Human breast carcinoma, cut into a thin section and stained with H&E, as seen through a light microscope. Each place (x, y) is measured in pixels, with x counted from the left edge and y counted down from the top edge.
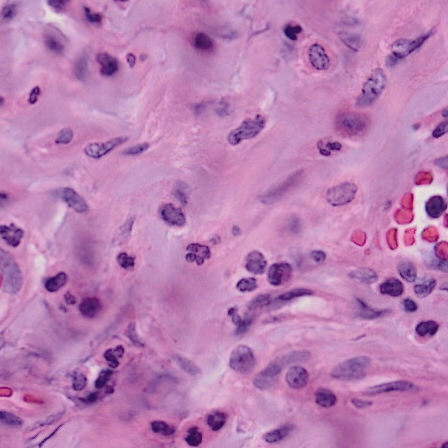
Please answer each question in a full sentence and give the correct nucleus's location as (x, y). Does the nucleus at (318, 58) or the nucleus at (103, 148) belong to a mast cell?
The nucleus positioned at (318, 58) is the one that belongs to a mast cell.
